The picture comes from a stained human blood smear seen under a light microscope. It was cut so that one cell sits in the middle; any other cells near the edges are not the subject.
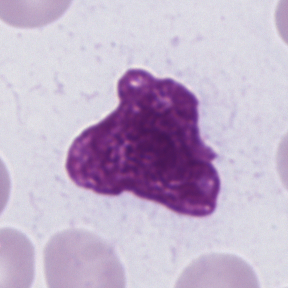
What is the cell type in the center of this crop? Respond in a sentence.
Occupying the centre of the crop is a smudge cell.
